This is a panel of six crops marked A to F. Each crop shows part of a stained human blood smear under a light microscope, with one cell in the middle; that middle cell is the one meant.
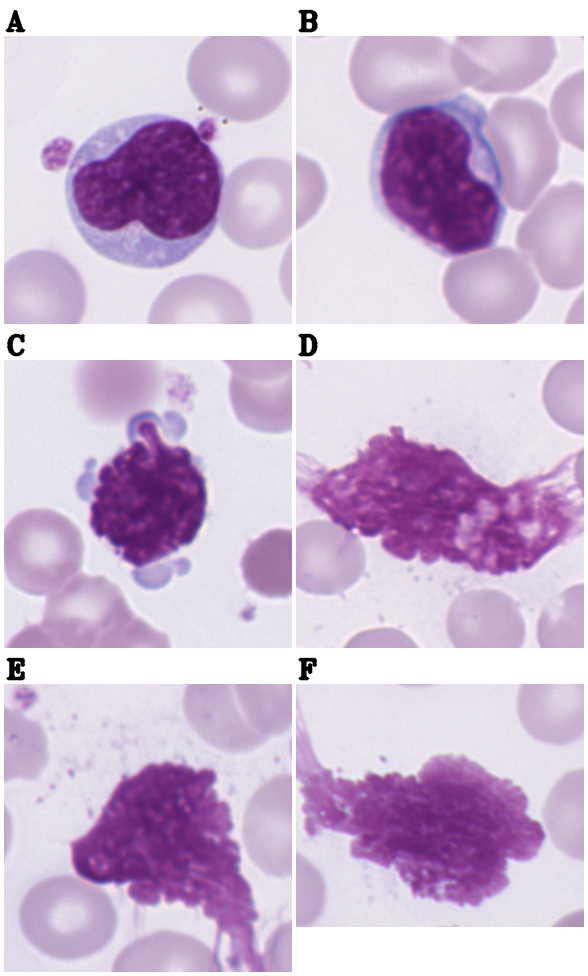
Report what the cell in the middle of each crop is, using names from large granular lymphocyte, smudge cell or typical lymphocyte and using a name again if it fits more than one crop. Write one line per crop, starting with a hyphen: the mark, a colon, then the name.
- A: typical lymphocyte
- B: typical lymphocyte
- C: typical lymphocyte
- D: smudge cell
- E: smudge cell
- F: smudge cell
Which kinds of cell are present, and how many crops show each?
typical lymphocyte: 3
smudge cell: 3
